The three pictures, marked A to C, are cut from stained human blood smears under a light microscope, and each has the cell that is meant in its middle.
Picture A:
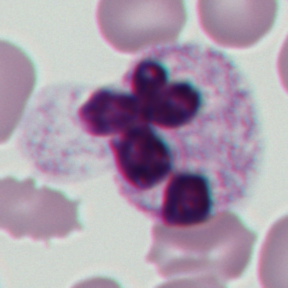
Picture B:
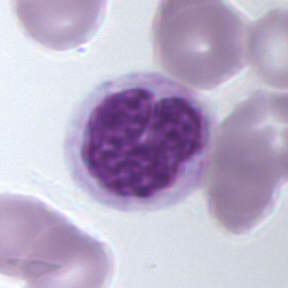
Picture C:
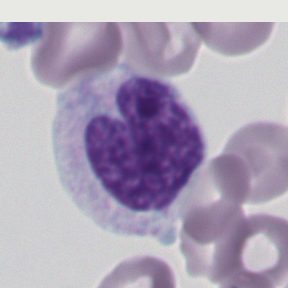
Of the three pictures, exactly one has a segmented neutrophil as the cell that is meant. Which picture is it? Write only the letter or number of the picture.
A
